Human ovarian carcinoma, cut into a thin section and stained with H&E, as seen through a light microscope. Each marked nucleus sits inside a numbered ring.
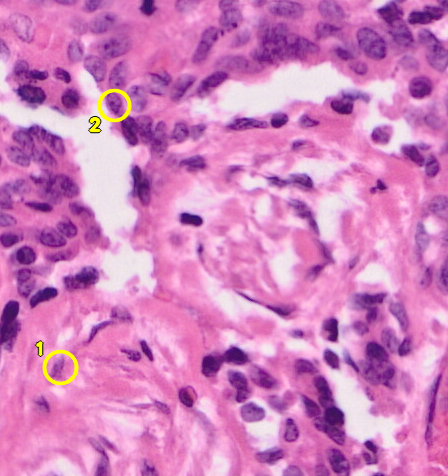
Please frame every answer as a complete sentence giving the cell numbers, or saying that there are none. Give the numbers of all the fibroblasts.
Cell 1 is a fibroblast, whereas each of the other numbered cells is not.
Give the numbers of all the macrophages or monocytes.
Identified by number, the marked cells include no macrophages or monocytes.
